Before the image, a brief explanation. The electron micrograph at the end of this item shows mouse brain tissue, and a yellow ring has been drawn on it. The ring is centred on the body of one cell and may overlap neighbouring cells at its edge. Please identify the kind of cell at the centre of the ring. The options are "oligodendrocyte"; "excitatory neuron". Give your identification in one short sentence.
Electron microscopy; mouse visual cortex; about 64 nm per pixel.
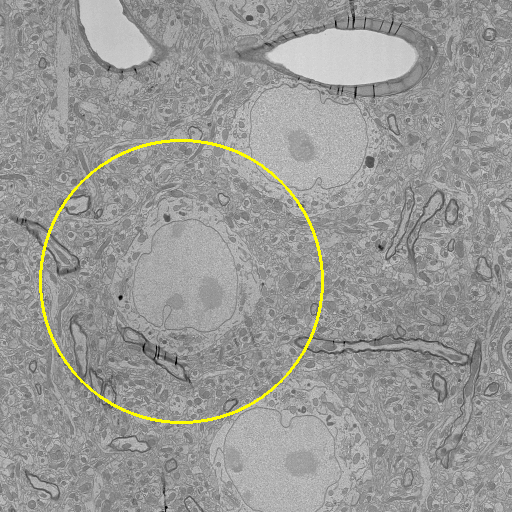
The ring has been placed around an excitatory neuron.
